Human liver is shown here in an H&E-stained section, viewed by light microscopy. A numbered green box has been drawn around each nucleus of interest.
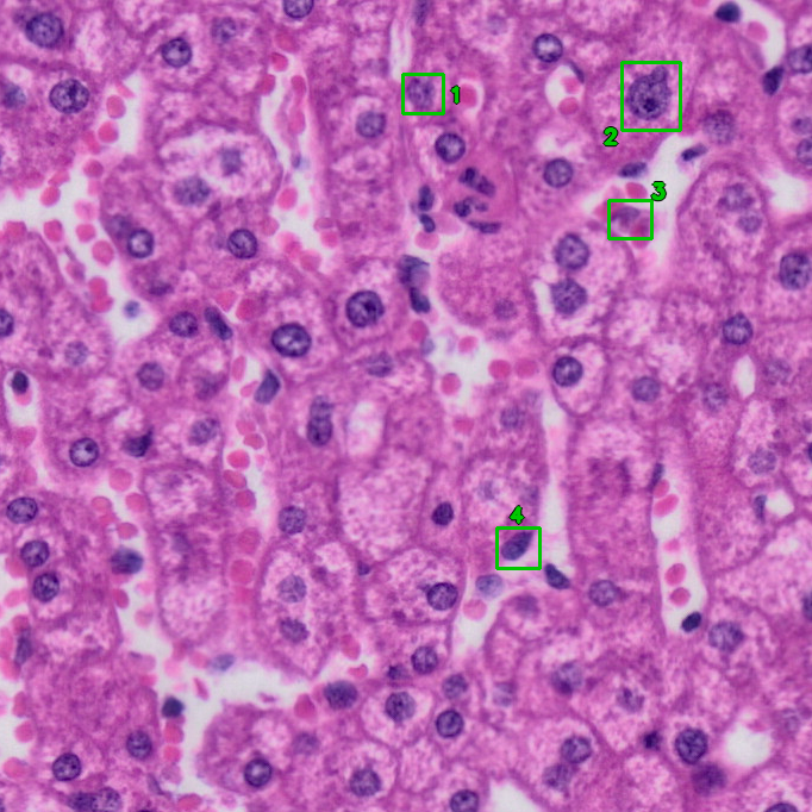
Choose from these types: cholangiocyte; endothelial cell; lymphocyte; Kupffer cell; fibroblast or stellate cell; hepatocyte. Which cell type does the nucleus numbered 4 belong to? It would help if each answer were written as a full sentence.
The numbered cell 4 is identified here as a fibroblast or stellate cell.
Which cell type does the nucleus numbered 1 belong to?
That cell with number 1 is a hepatocyte.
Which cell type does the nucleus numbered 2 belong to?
The numbered cell 2 in this field is a hepatocyte.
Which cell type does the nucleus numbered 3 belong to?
The label 3 in this section denotes a Kupffer cell.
